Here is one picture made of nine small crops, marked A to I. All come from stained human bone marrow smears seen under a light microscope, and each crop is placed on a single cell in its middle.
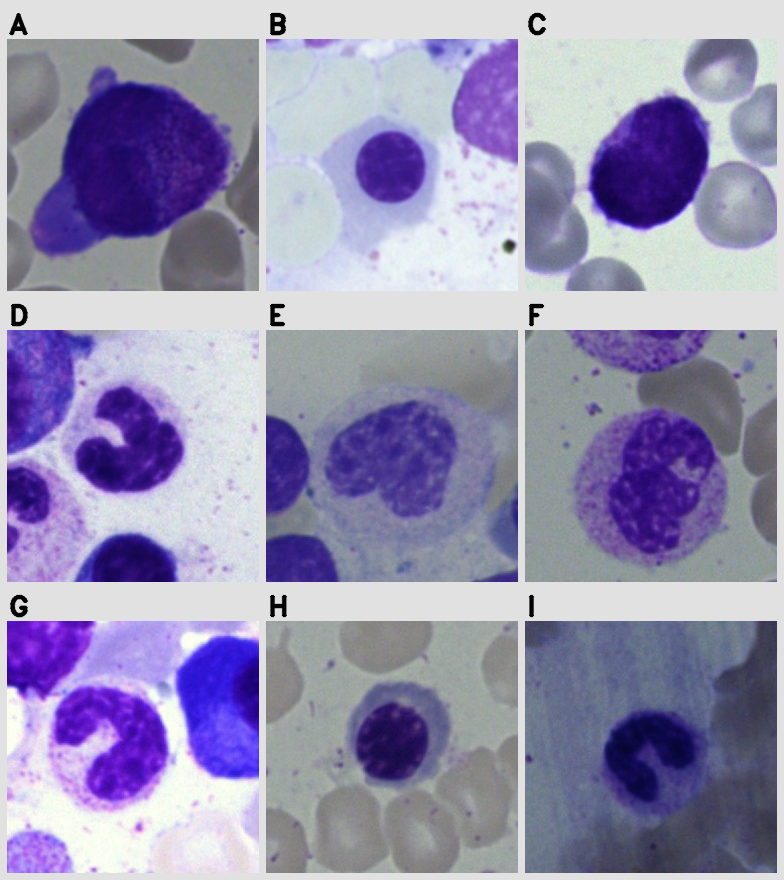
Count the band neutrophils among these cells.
4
